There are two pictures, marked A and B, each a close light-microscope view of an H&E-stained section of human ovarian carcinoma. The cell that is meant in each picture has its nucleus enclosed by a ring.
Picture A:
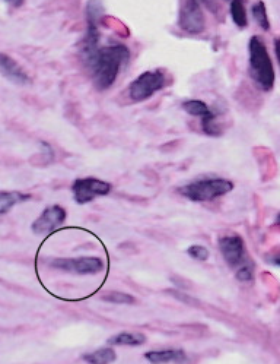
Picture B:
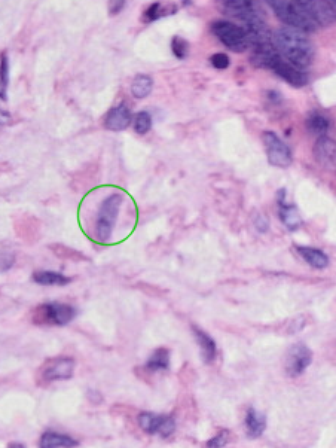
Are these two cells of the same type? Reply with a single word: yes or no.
yes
